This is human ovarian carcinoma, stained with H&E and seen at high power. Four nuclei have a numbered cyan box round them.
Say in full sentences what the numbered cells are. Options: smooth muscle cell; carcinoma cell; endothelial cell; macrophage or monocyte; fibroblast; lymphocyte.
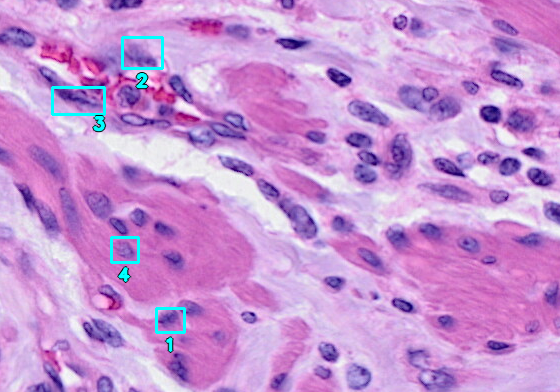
Cells 1 and 4 are smooth muscle cells. Cells 2 and 3 are endothelial cells.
